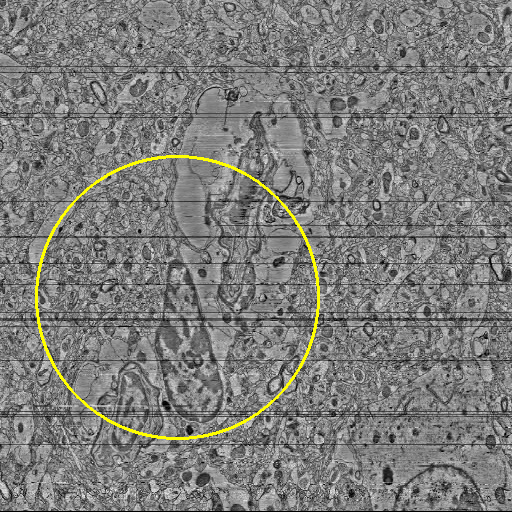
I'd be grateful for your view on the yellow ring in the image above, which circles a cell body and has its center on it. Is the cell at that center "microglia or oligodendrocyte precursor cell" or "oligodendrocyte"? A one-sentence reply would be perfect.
The cell at the center of the yellow ring is a microglial cell or oligodendrocyte precursor cell.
